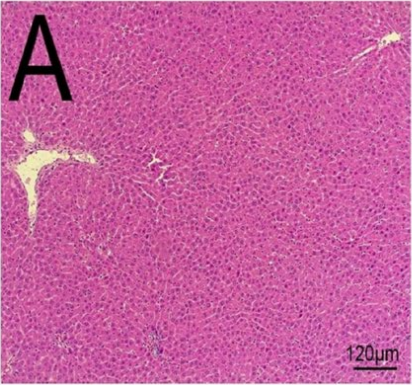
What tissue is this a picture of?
normal hepatic architecture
